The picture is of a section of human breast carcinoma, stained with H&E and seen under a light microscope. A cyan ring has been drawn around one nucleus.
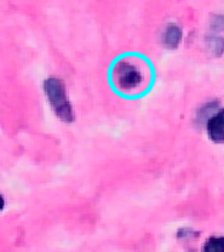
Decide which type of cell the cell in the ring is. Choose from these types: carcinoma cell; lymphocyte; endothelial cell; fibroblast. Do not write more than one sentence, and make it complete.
At the level of cell identity, the cell in the ring is a lymphocyte.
